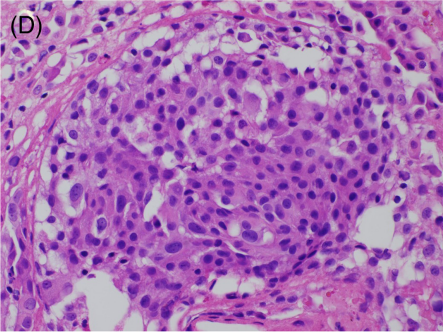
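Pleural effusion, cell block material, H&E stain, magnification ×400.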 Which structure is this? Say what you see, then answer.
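A rounded, densely cellular aggregate fills most of the field. A thin pale pink fibrillar layer encircles the aggregate. That points to this answer: compact cellular nodule.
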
